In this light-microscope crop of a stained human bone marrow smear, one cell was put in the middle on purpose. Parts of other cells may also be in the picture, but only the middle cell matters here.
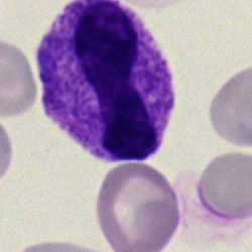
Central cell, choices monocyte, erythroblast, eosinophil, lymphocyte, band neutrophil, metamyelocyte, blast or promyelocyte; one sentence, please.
Occupying the centre of the crop is a band neutrophil.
